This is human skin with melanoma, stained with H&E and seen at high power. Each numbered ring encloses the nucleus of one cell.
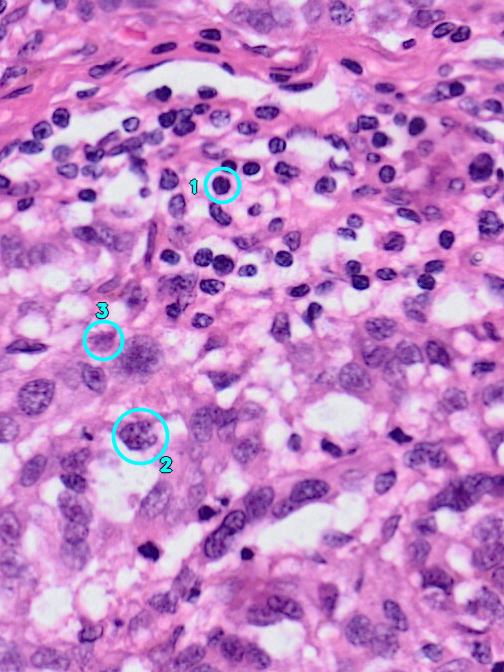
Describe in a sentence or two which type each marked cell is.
Cell 1 is a lymphocyte. Cells 2 and 3 are melanoma cells.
